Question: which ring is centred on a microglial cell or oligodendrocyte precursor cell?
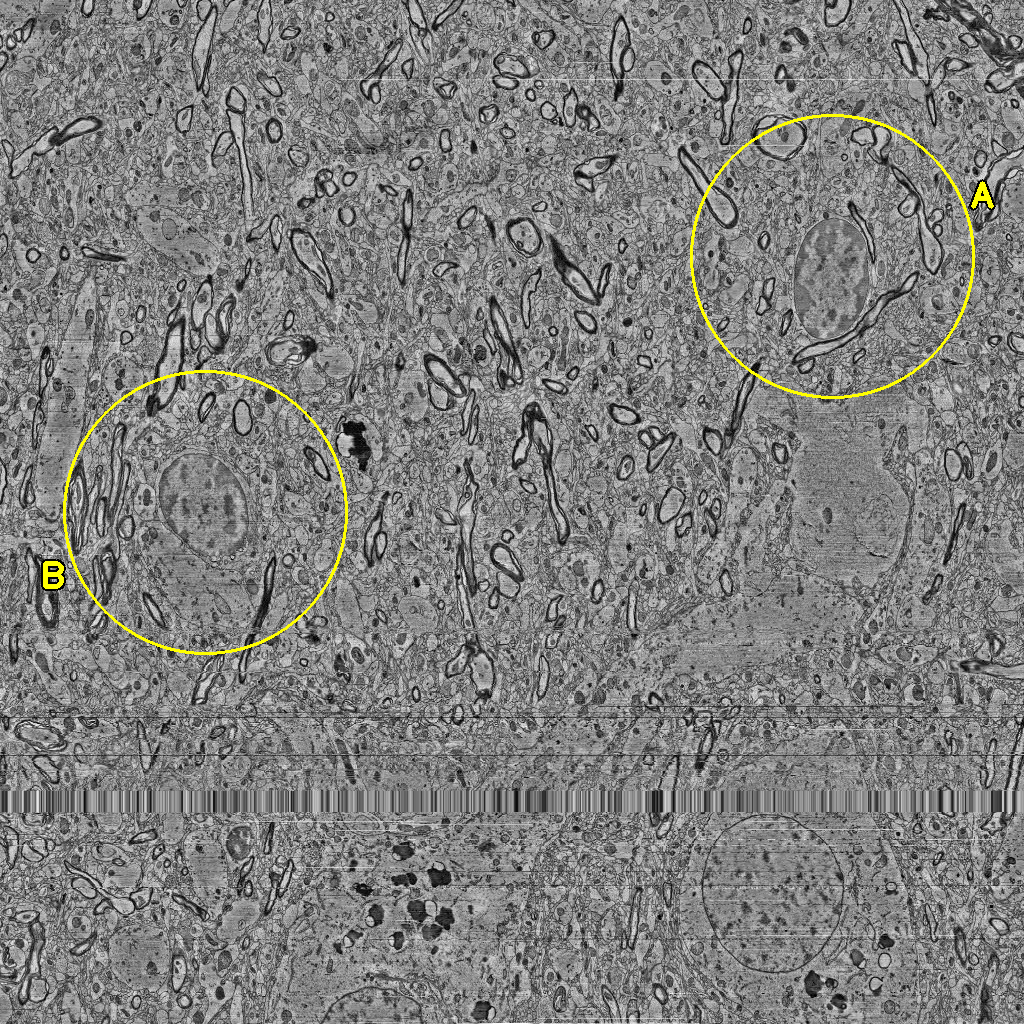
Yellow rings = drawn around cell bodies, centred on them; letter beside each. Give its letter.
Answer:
A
